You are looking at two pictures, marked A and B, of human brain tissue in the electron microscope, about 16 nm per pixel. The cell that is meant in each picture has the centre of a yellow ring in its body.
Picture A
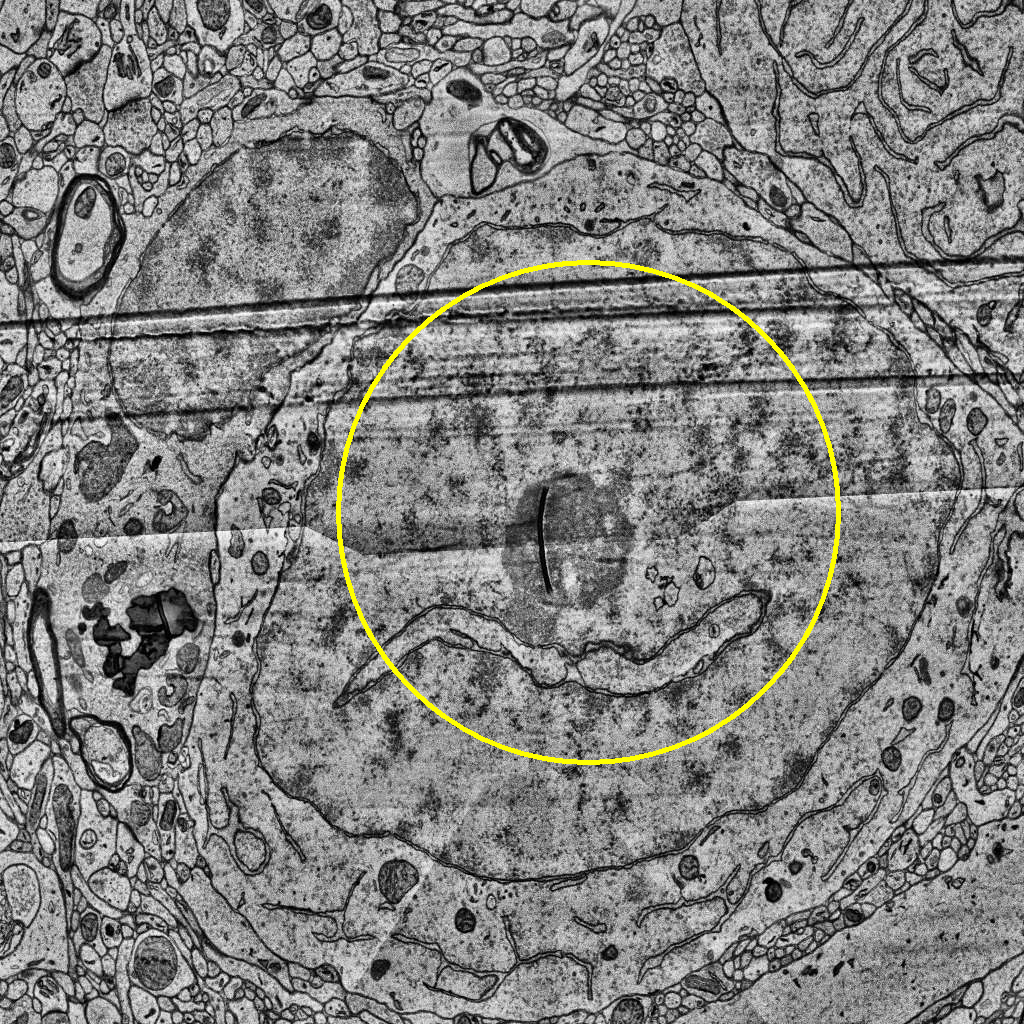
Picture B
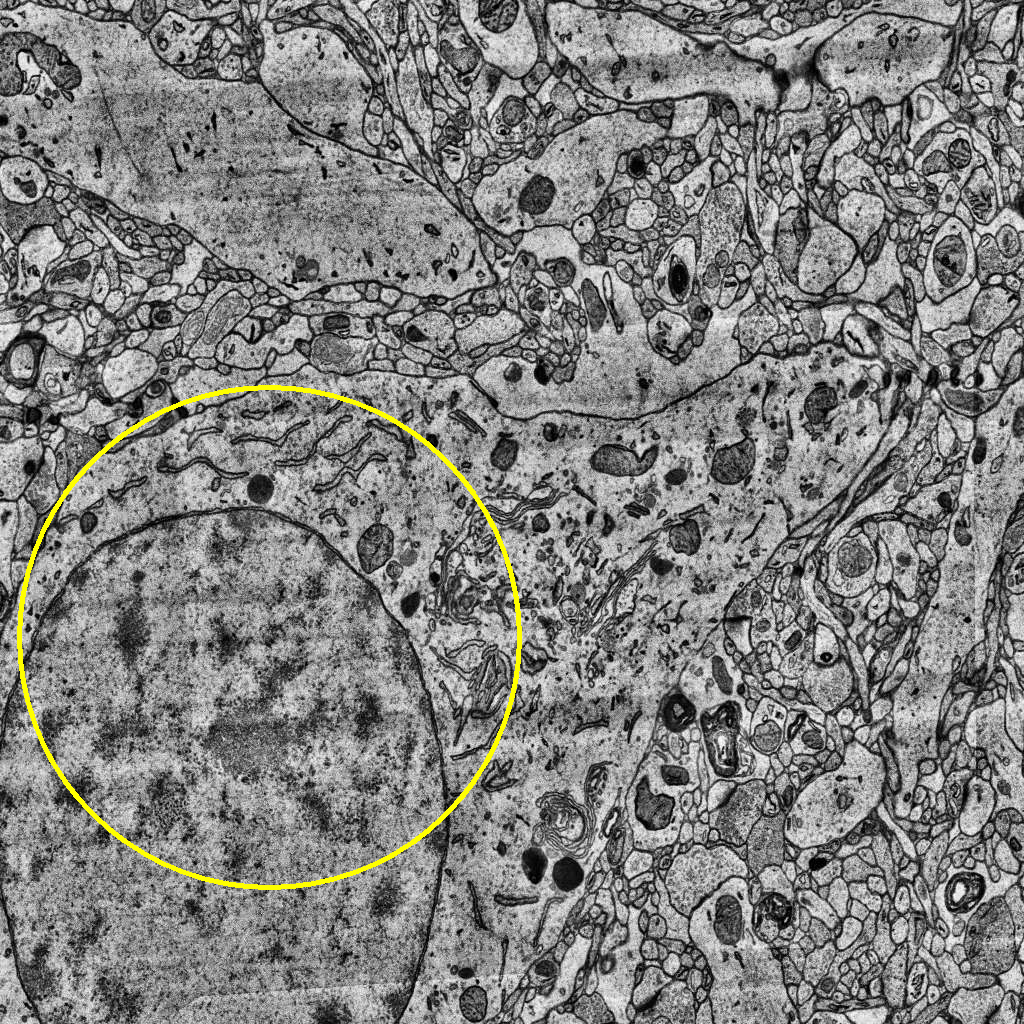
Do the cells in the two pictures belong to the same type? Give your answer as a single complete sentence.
No, picture A shows an interneuron and picture B shows a pyramidal neuron.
